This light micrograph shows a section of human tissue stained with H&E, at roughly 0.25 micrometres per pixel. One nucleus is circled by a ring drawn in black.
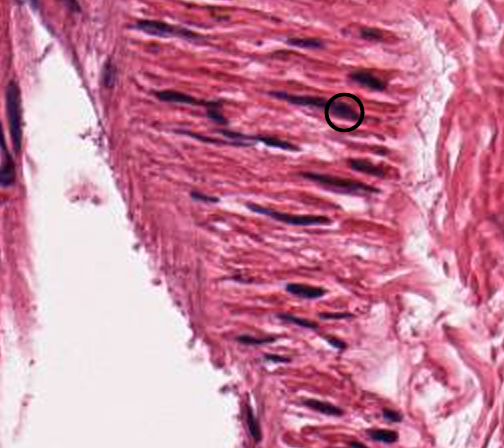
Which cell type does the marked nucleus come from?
smooth muscle cell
